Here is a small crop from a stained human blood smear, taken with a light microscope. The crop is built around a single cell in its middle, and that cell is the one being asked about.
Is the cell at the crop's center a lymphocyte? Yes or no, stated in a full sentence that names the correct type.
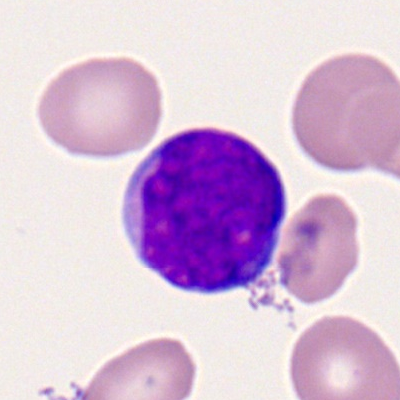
No, the central cell is properly termed a myeloblast, not a lymphocyte.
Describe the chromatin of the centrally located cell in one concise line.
In this nucleus, the chromatin is arranged in coarse clumps.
